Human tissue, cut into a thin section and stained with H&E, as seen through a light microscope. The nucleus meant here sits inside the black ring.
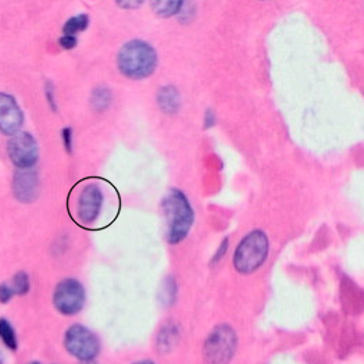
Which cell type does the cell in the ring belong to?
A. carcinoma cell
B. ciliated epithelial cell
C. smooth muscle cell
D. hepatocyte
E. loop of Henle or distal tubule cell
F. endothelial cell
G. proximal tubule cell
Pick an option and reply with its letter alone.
E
